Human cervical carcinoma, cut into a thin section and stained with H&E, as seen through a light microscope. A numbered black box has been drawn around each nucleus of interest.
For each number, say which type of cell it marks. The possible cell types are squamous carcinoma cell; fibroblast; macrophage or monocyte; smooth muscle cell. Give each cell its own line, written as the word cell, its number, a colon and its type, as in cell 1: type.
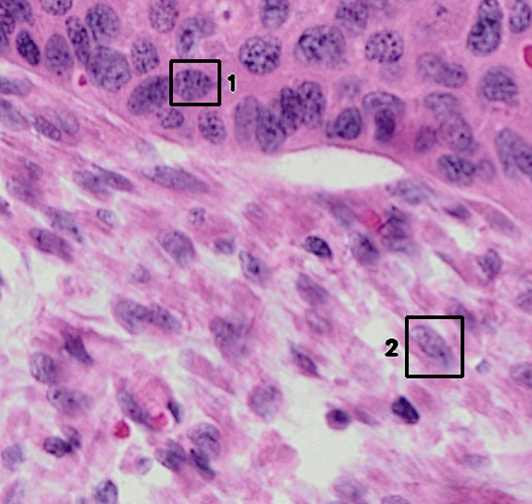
cell 1: squamous carcinoma cell
cell 2: fibroblast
